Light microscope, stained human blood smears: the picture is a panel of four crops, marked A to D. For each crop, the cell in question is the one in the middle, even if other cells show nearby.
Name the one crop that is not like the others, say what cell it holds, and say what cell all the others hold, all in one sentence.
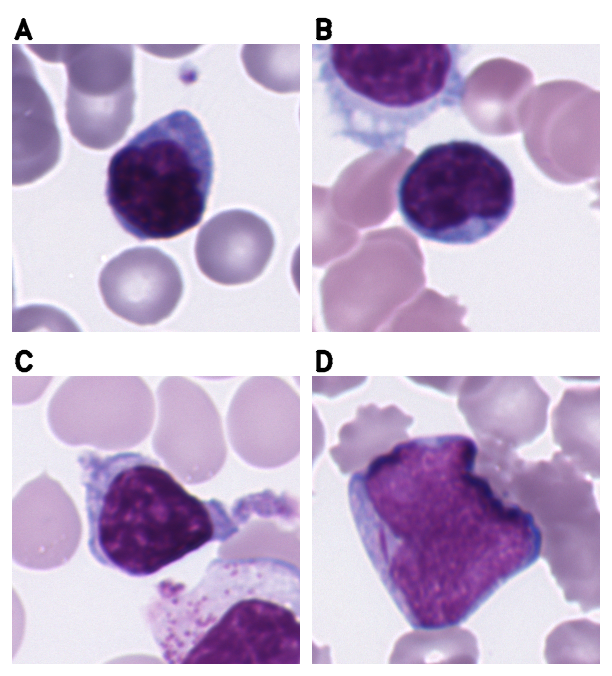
The single exception among the crops is crop D, which is a myeloblast; the rest show typical lymphocytes.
